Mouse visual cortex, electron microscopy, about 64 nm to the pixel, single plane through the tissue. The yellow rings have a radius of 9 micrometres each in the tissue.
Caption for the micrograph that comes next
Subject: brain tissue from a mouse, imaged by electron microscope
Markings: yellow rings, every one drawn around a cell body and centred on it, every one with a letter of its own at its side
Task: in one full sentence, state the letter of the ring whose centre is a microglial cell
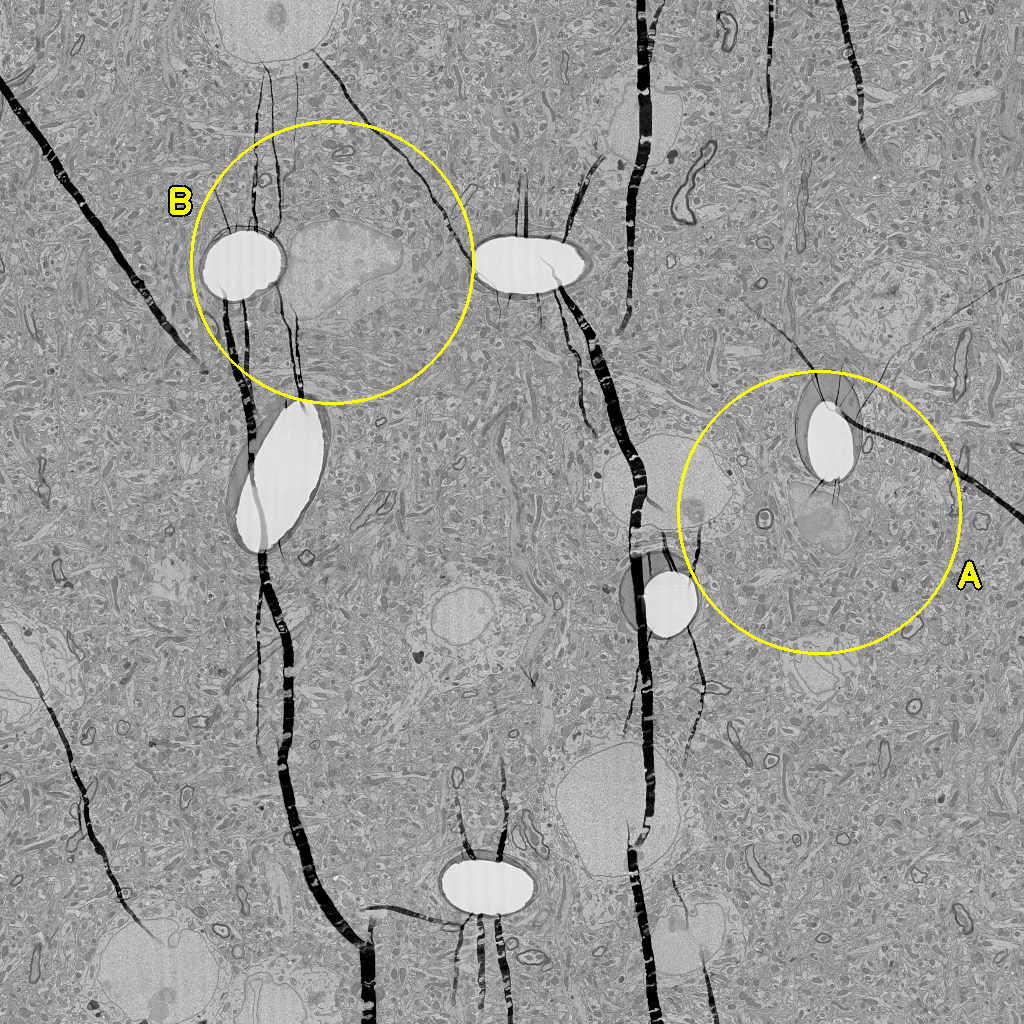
The ring centred on the cell asked for in this micrograph carries the letter A.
